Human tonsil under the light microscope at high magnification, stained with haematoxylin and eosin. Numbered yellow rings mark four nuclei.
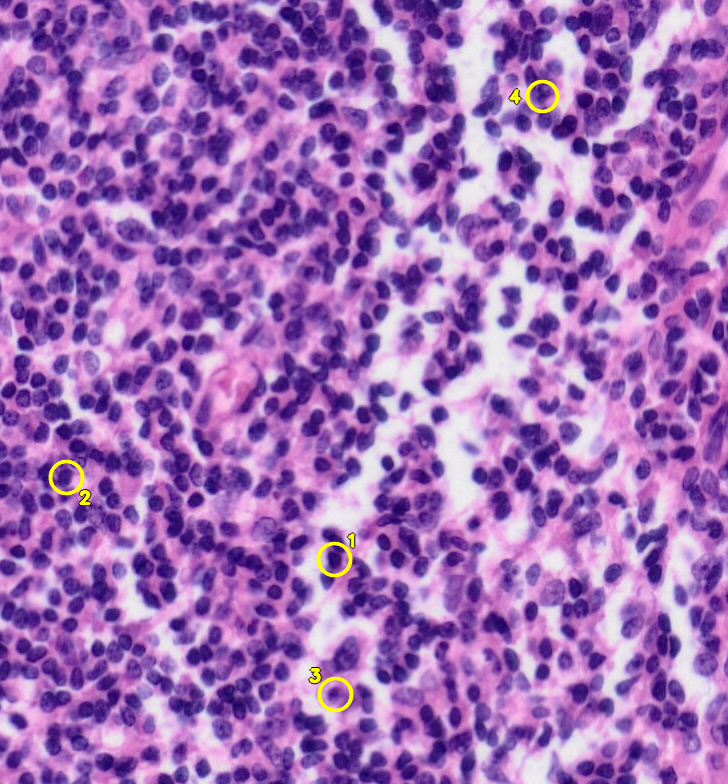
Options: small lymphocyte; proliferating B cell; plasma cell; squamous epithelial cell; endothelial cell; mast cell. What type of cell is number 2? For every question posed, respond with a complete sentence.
The one labeled 2 is a small lymphocyte, to put it simply.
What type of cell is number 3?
Nucleus 3 in this section belongs to a proliferating B cell.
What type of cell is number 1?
Cell number 1 in this section is a small lymphocyte.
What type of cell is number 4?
What the number 4 marks in this field is a small lymphocyte.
